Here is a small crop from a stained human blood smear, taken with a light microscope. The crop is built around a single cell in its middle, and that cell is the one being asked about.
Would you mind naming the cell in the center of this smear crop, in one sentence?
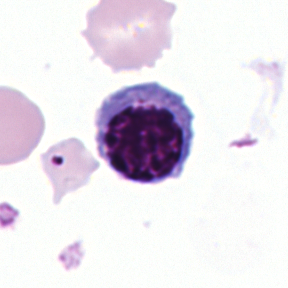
Whatever else lies nearby, the middle cell is an erythroblast.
